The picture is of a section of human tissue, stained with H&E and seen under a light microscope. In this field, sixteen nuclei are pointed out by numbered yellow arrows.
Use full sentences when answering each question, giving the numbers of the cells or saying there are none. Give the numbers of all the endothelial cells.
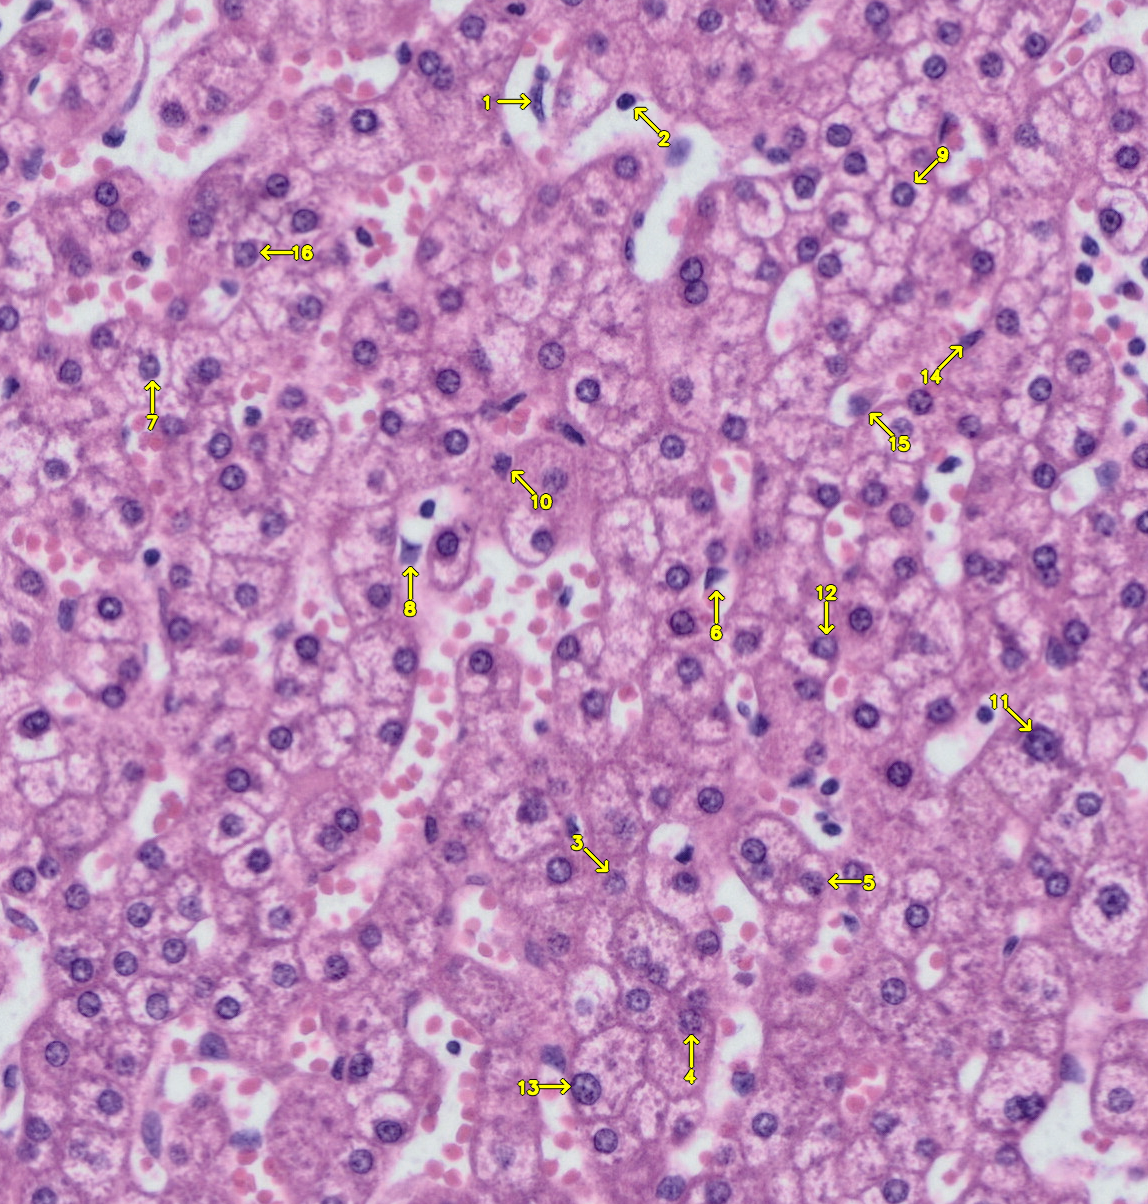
Into the category of endothelial cells fall the cells numbered 6 and 8.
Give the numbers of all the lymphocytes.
Of all the numbered cells, only cell 2 is a lymphocyte.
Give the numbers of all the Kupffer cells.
The numbers 1 and 15 refer to cells that are Kupffer cells.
